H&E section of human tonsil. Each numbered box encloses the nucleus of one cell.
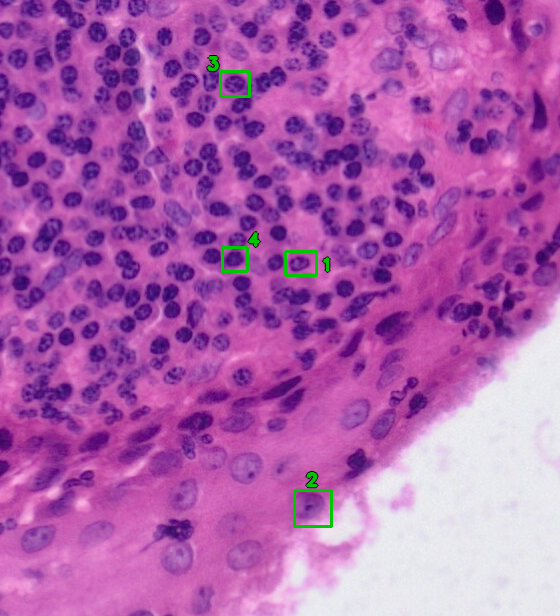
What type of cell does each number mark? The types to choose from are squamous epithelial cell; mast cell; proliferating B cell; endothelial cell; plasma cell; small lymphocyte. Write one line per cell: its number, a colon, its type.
1: plasma cell
2: squamous epithelial cell
3: plasma cell
4: plasma cell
